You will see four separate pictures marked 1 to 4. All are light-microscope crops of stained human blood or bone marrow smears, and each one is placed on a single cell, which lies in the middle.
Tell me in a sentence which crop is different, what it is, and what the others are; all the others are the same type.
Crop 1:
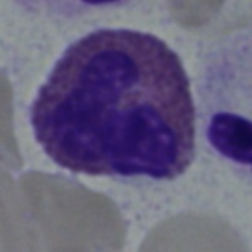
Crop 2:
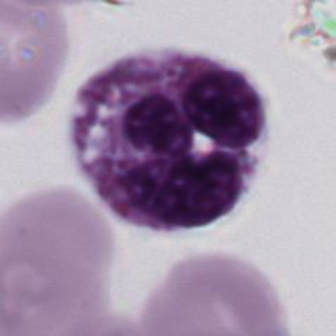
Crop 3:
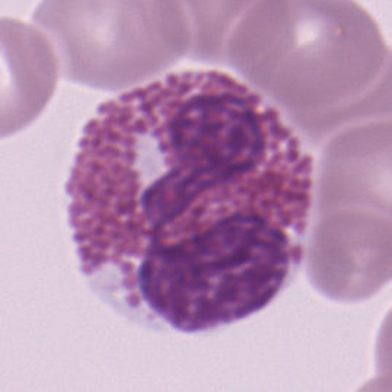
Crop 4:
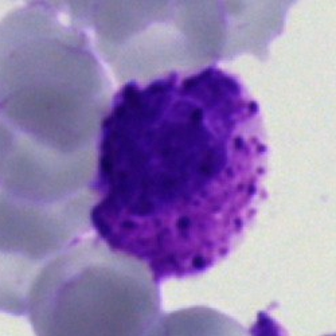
Of these crops, only crop 4 is a basophil; the others are eosinophils.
